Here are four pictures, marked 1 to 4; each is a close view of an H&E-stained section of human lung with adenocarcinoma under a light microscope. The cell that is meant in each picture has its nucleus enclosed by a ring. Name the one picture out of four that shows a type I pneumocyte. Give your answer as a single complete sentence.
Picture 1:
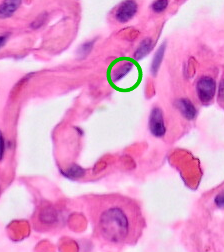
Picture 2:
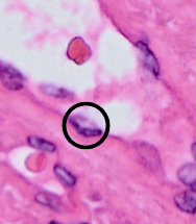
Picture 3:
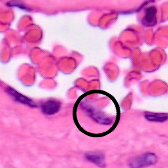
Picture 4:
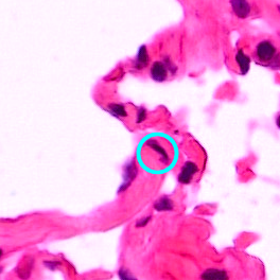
It is picture 1 that shows the type I pneumocyte.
